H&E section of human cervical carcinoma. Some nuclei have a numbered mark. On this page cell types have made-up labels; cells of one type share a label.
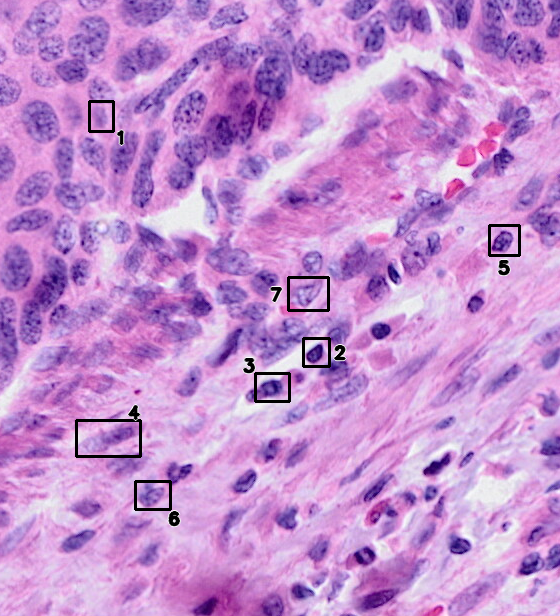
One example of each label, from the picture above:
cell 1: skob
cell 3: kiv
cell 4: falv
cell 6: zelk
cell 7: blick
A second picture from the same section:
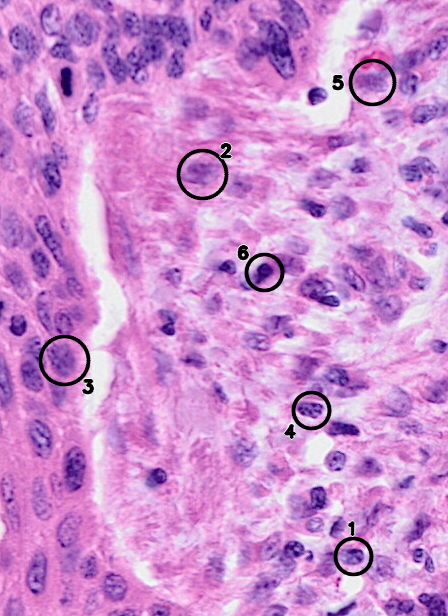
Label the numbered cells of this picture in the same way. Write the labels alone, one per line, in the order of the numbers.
kiv
falv
skob
kiv
blick
kiv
